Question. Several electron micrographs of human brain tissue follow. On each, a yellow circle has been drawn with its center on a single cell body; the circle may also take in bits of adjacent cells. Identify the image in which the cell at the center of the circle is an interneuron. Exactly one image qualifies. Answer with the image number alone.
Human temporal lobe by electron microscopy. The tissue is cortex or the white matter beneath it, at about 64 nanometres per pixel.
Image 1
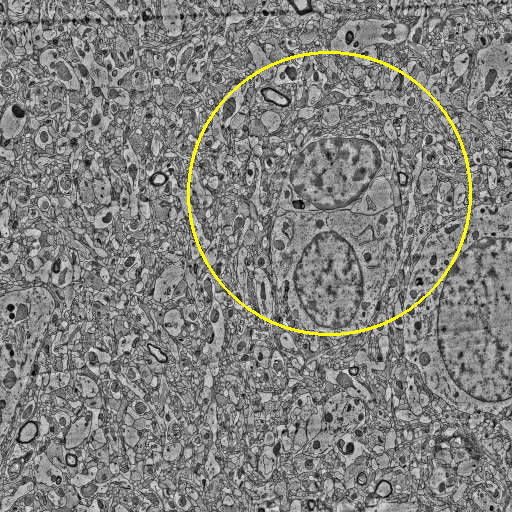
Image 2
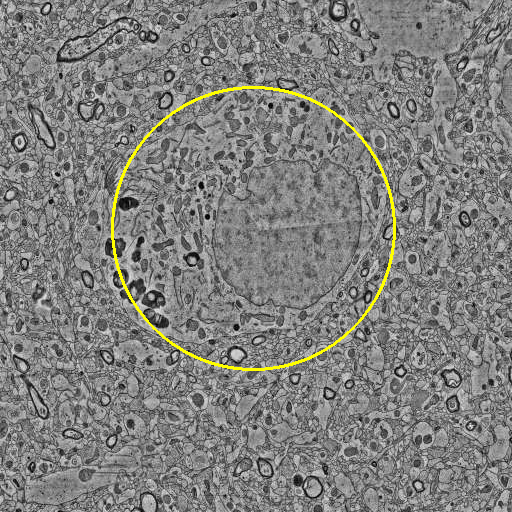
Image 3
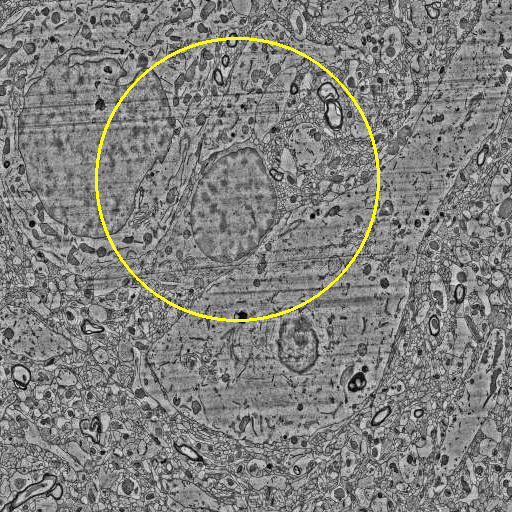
2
